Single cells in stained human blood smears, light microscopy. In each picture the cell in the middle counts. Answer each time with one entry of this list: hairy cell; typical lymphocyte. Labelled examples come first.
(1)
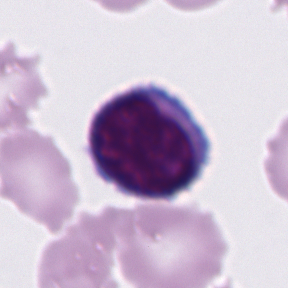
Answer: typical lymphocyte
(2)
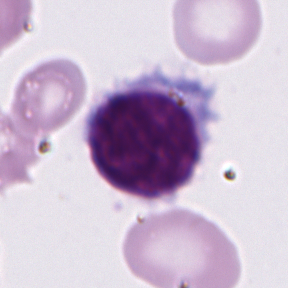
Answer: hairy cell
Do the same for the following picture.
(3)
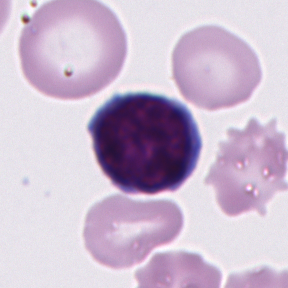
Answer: typical lymphocyte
